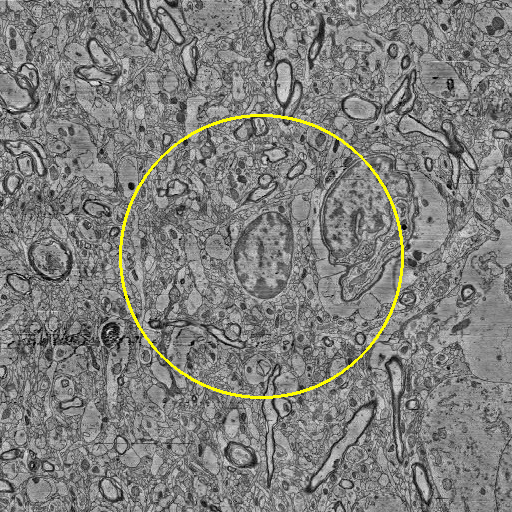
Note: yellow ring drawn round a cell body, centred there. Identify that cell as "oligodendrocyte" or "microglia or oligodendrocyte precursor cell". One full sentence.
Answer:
The cell in the middle of the ring is a microglial cell or oligodendrocyte precursor cell.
